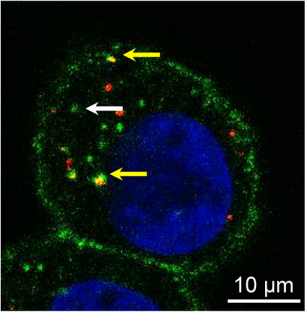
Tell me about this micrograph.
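A rounded cultured cell in optical section with a blue nucleus lying toward the lower right, and parts of neighbouring cells at the edges. A dotted green rim marks the cell surface. Inside the cytoplasm, on the side away from the nucleus, lie many bright green dots of varying size. Further separate red dots are scattered through the cytoplasm near the nucleus.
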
